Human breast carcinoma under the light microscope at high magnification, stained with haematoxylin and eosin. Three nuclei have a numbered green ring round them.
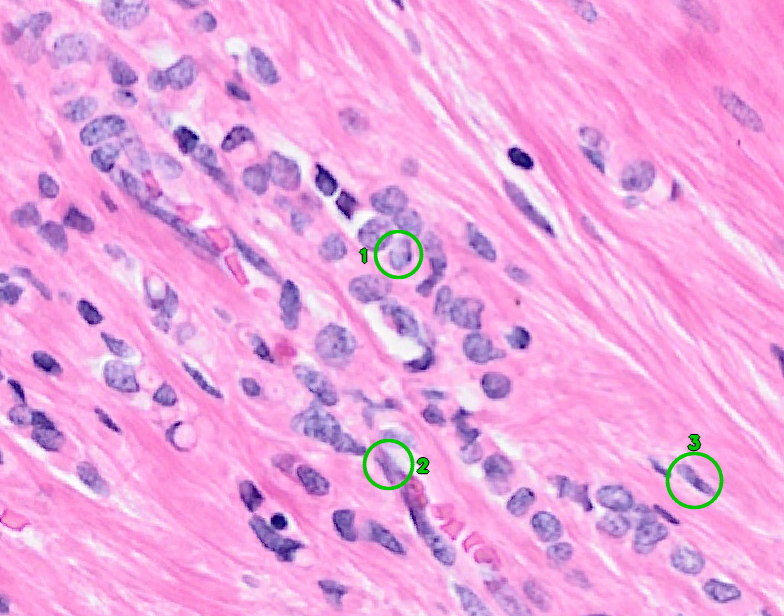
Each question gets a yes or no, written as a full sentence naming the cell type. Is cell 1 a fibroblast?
No, cell 1 does not represent a fibroblast; it represents a carcinoma cell.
